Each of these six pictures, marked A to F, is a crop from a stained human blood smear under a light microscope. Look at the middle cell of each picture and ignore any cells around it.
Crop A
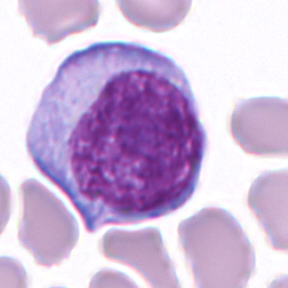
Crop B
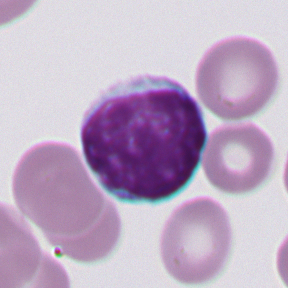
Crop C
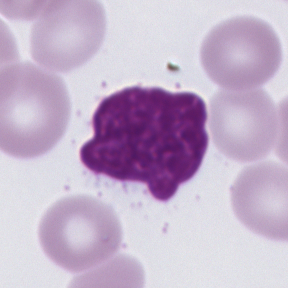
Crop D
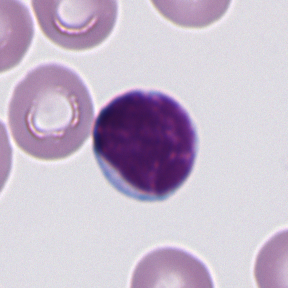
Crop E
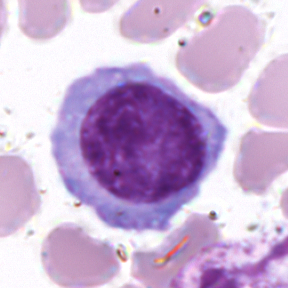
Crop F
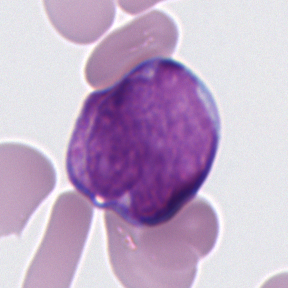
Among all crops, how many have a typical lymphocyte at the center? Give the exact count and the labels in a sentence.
Crops B and D, two in total, show typical lymphocytes.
